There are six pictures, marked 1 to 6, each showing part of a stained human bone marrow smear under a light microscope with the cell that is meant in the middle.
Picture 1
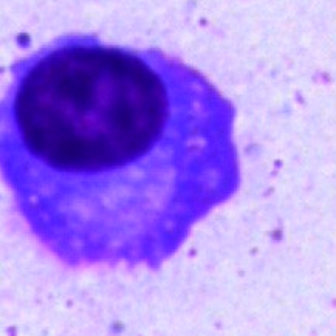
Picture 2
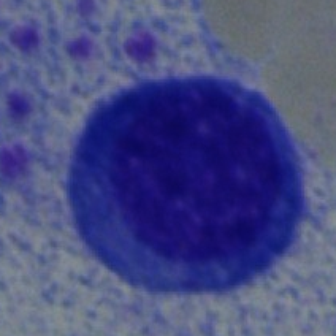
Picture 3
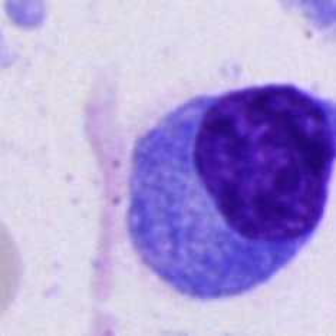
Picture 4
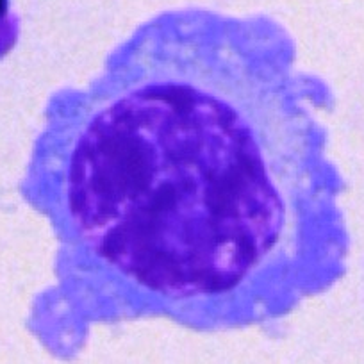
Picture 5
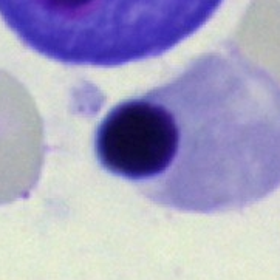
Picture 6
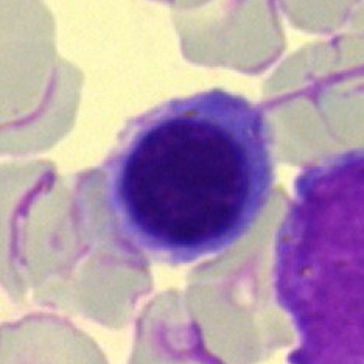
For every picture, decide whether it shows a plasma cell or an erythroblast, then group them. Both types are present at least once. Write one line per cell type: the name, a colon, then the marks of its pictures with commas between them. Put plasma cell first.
plasma cell: 1, 2, 3, 4
erythroblast: 5, 6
